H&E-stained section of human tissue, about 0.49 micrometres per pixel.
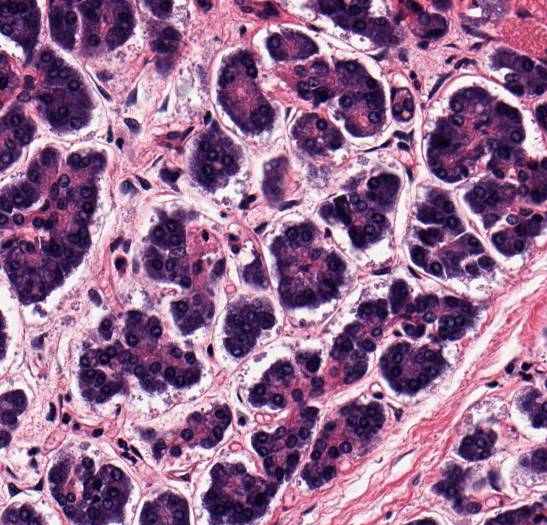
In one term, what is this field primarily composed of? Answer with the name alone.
exocrine pancreas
